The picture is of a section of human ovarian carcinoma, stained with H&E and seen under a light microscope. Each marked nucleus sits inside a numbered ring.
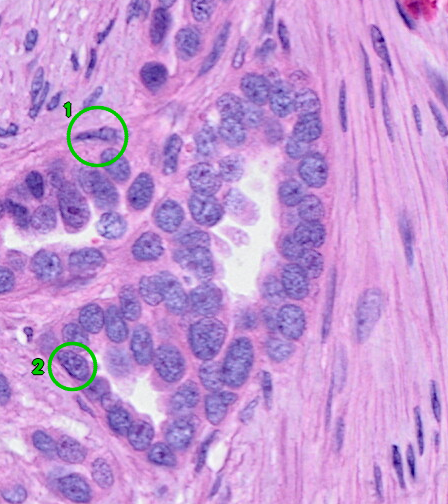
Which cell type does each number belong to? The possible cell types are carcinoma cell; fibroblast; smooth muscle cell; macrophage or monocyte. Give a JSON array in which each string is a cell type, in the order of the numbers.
["fibroblast", "carcinoma cell"]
